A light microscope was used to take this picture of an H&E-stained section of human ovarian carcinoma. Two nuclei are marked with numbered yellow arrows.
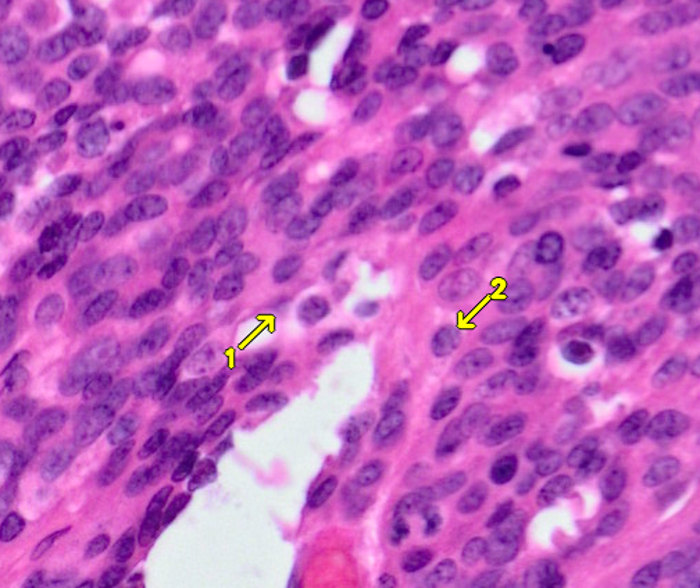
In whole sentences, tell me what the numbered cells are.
Cell 1 is a carcinoma cell. Cell 2 is a macrophage or monocyte.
